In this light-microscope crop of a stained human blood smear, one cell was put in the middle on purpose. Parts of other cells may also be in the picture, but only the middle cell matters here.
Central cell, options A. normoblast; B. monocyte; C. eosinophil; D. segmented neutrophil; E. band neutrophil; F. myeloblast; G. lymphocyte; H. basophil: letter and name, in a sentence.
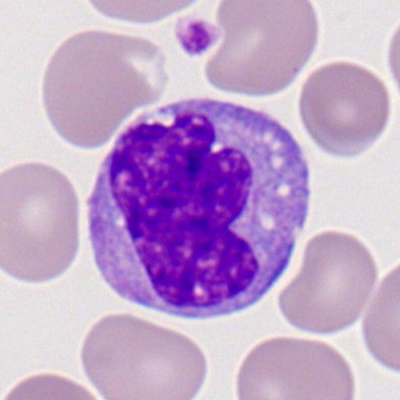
Option B is the keyed answer: the cell in the middle is a monocyte.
